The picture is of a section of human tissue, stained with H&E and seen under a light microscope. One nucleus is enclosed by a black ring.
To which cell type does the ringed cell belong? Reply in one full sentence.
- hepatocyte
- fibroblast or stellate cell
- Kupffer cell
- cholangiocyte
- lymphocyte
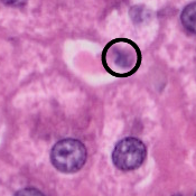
The expected answer is simply that the ringed cell is a Kupffer cell.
